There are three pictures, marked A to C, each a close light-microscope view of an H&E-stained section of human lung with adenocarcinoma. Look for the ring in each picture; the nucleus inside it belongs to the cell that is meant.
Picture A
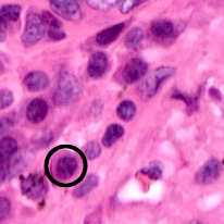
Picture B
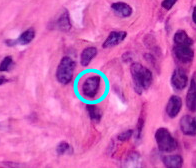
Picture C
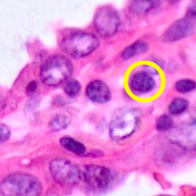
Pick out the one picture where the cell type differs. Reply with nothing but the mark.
C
